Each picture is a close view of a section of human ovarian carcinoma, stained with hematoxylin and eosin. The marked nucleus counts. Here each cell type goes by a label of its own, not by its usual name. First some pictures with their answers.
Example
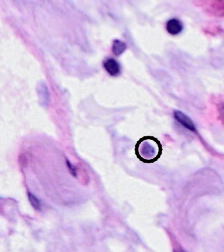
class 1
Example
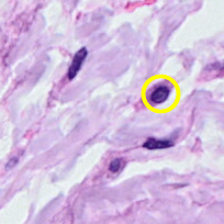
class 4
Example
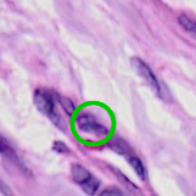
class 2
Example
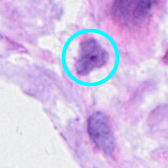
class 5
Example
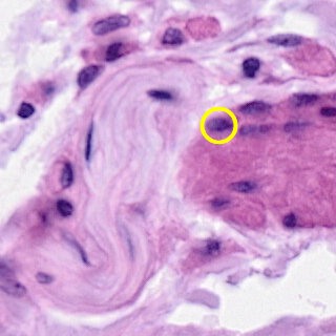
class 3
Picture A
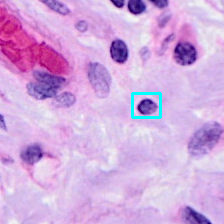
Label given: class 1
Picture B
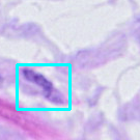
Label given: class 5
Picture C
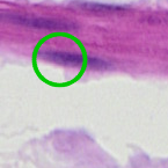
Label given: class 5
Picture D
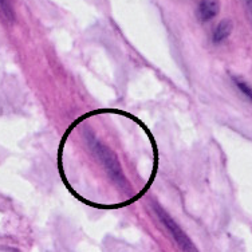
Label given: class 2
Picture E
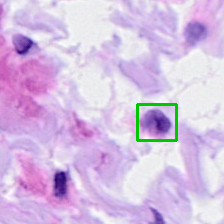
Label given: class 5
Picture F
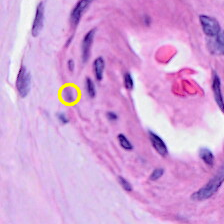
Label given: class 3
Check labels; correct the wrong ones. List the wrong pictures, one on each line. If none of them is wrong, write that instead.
C: change class 5 to class 3
D: change class 2 to class 3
